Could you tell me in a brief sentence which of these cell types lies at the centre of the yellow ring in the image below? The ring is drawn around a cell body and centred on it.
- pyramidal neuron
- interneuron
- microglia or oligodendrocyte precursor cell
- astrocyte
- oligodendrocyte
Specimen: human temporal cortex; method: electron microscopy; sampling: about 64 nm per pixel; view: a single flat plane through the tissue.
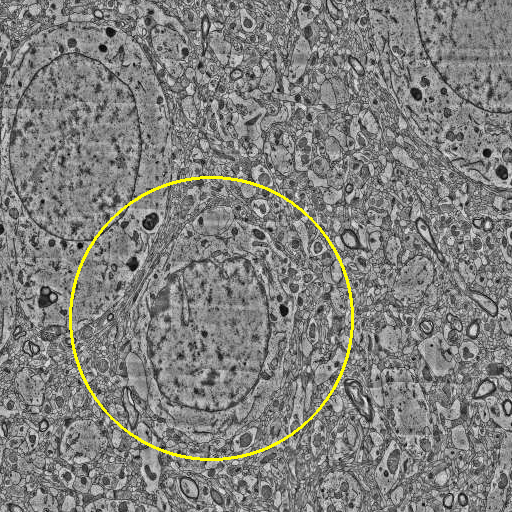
The cell centred in the ring is an interneuron.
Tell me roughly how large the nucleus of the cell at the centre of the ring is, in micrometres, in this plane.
About 10 micrometres by about 8 micrometres in this plane.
